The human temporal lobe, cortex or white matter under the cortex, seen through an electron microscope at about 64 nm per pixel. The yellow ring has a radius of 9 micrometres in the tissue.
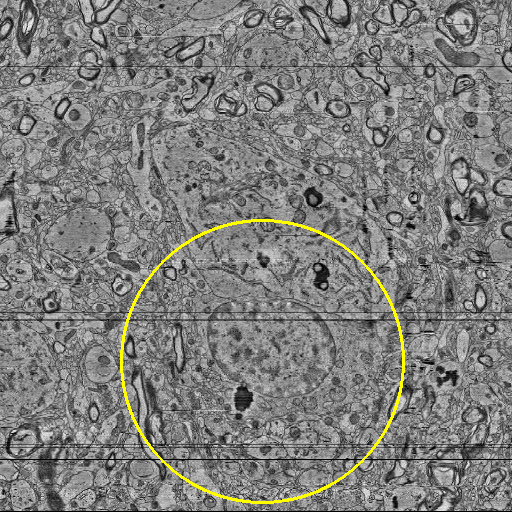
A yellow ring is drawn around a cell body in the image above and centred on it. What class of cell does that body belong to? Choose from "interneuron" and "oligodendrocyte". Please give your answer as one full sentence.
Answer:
The yellow ring above is centred on the cell body of an oligodendrocyte.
